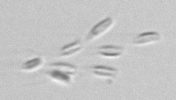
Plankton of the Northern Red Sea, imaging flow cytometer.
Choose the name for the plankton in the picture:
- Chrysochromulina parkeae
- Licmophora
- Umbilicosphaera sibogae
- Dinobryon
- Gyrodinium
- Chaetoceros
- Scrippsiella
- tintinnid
Dinobryon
